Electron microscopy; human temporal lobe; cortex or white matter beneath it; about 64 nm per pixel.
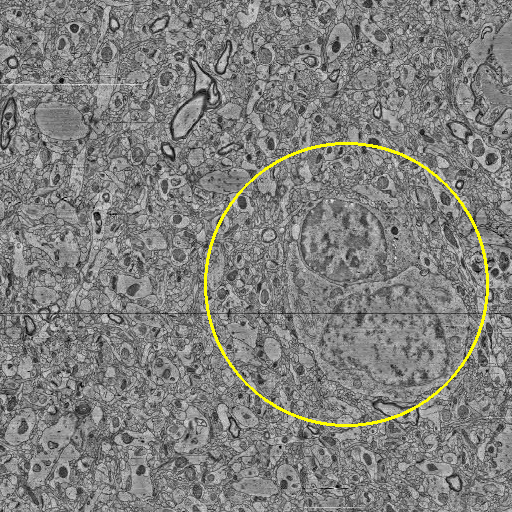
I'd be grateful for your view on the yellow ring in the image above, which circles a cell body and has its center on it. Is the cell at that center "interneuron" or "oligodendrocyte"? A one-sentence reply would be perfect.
The cell at the center of the yellow ring is an oligodendrocyte.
